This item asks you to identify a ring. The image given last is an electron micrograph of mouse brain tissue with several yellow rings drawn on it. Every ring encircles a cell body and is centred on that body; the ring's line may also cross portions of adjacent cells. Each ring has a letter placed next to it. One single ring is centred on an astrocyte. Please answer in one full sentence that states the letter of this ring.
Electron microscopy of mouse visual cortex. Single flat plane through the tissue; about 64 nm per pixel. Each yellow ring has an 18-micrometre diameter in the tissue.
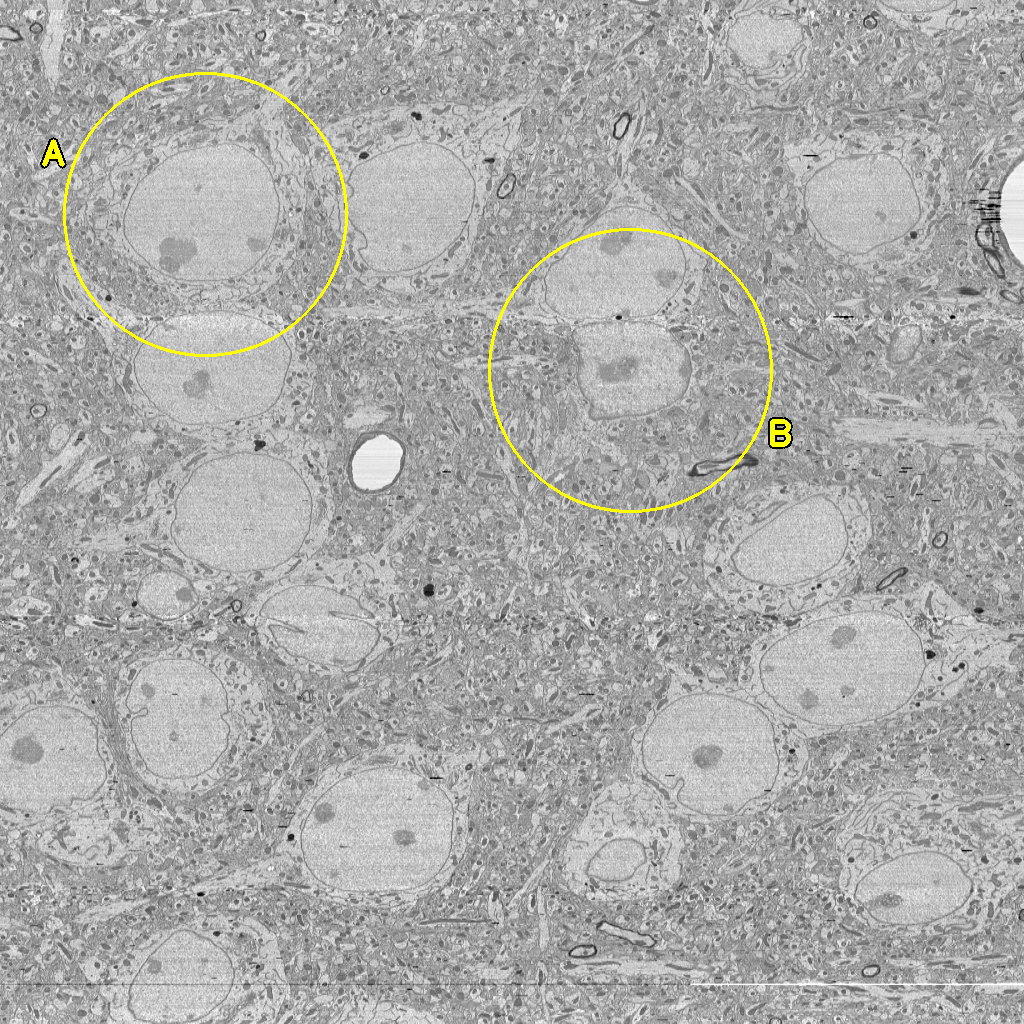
My answer is letter B, the ring centred on the cell asked for.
